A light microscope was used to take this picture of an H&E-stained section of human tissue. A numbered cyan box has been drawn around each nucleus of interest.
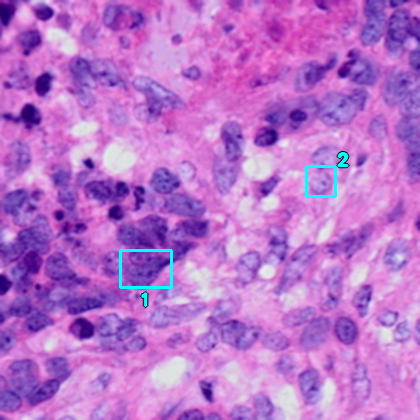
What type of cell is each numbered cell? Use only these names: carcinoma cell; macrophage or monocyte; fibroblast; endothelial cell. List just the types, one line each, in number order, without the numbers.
carcinoma cell
fibroblast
